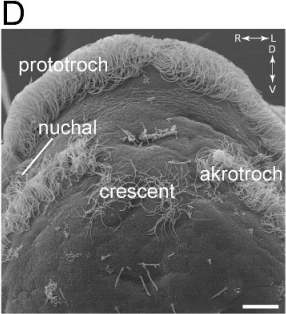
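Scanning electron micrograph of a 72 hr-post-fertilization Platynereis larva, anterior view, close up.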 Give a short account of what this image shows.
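A broad, dense band of long cilia runs across the top of the image and follows the curved outline of the head. Below it, the body surface is smooth and gently domed. On one side there is a smaller tuft of densely packed cilia. On the opposite side, shorter cilia form a patch beside the band. Short, sparse projections are scattered over the surface near it.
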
